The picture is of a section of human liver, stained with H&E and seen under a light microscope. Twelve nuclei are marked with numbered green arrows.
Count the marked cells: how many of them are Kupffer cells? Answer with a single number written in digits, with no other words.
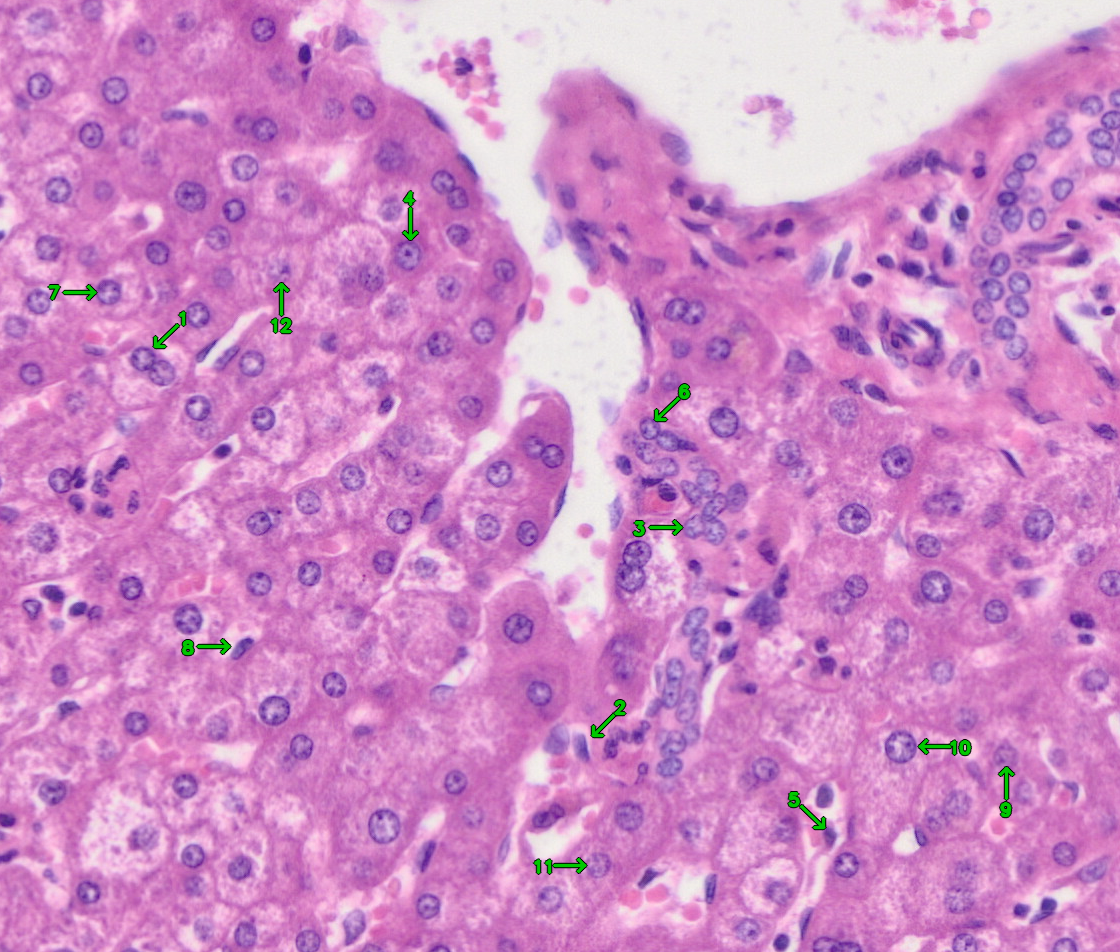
1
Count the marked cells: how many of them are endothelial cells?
1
